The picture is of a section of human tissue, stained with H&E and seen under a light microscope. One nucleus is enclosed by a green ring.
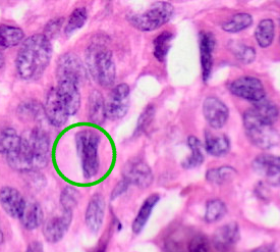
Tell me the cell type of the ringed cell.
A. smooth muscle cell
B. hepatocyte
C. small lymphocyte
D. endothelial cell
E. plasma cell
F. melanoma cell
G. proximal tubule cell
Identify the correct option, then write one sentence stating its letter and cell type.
It is option F that correctly calls the ringed cell a melanoma cell.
